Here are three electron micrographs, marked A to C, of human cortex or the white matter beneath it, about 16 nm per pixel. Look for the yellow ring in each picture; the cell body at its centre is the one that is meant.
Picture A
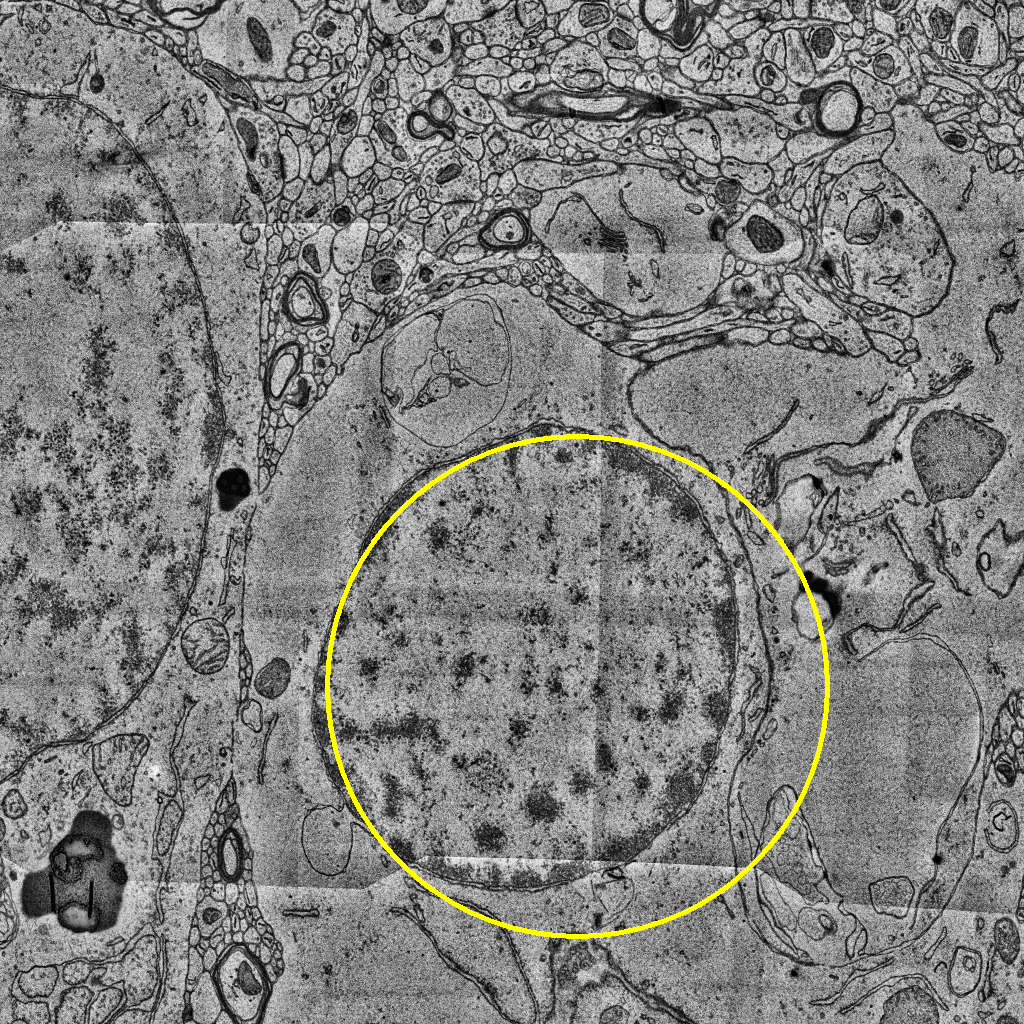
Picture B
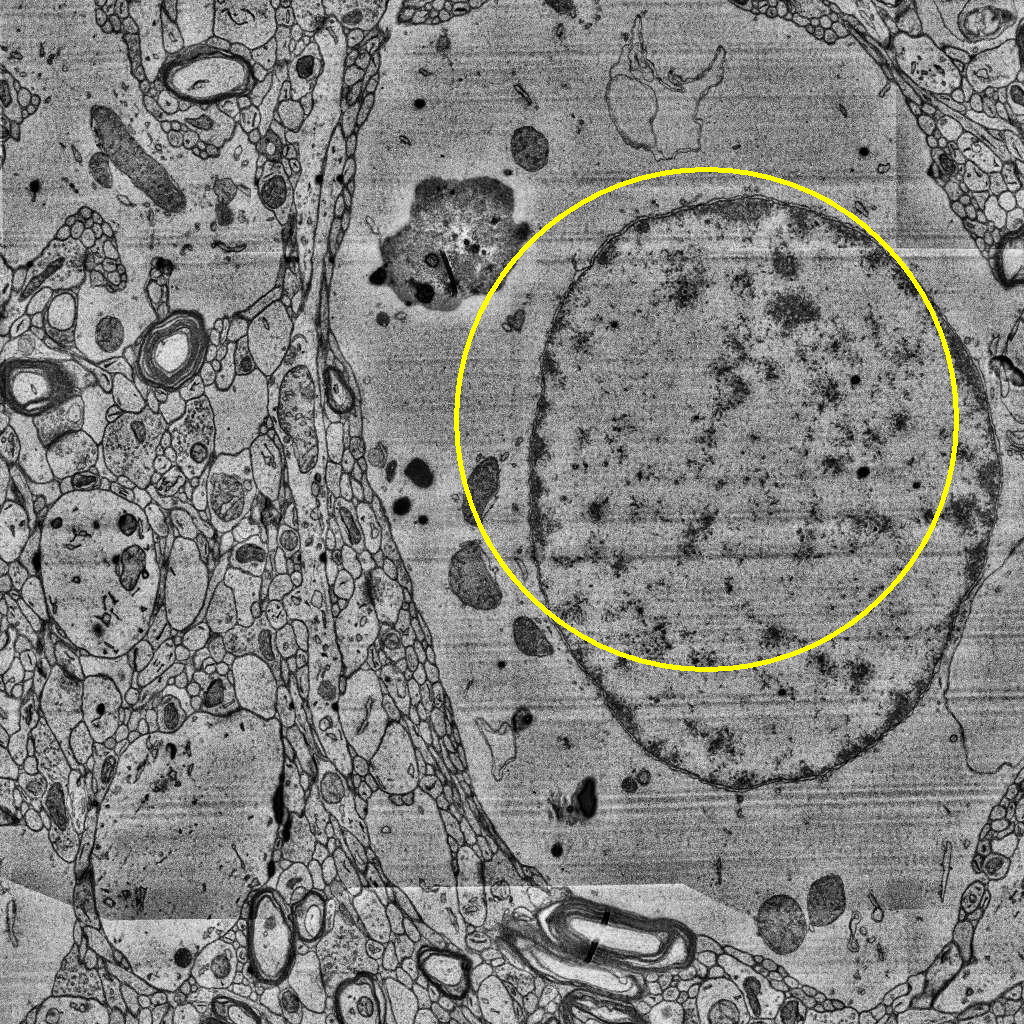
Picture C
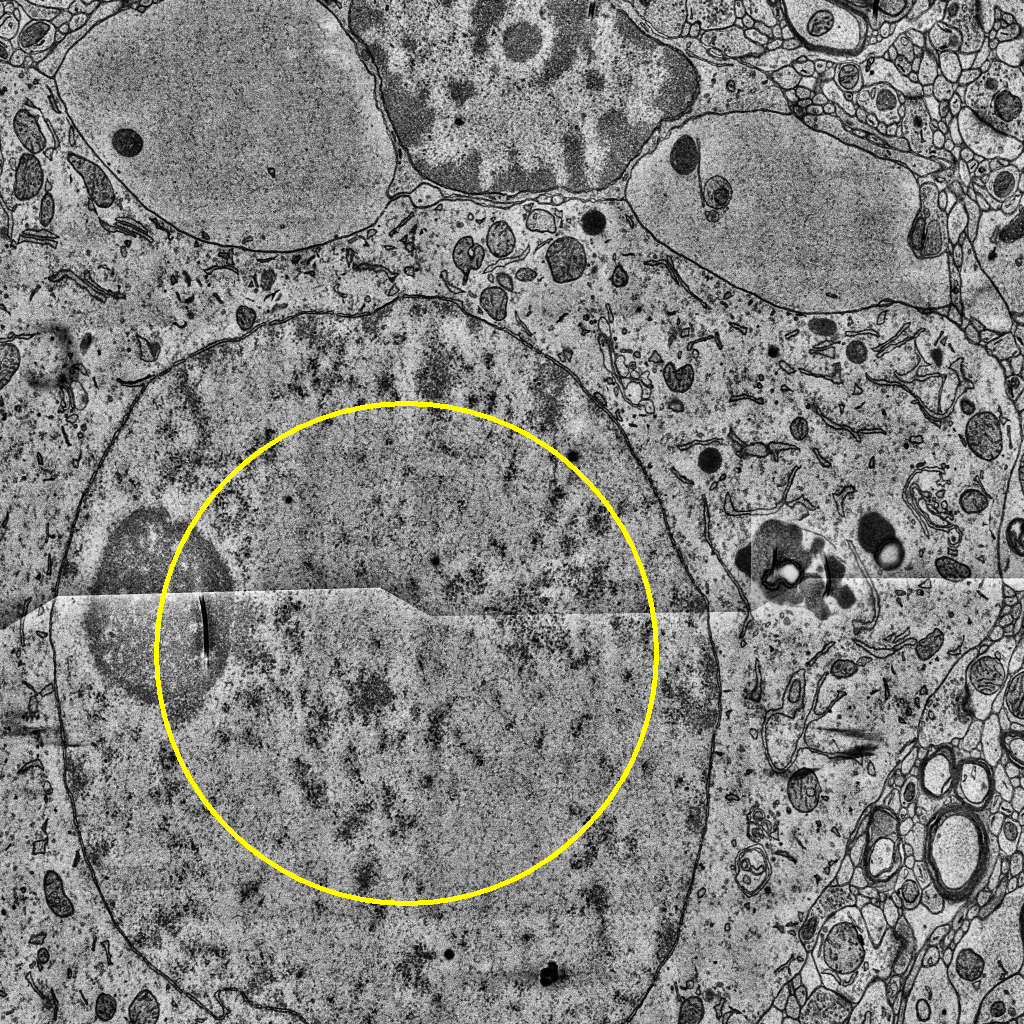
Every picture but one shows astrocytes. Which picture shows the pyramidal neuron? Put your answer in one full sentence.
Picture C is the one that shows the pyramidal neuron.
